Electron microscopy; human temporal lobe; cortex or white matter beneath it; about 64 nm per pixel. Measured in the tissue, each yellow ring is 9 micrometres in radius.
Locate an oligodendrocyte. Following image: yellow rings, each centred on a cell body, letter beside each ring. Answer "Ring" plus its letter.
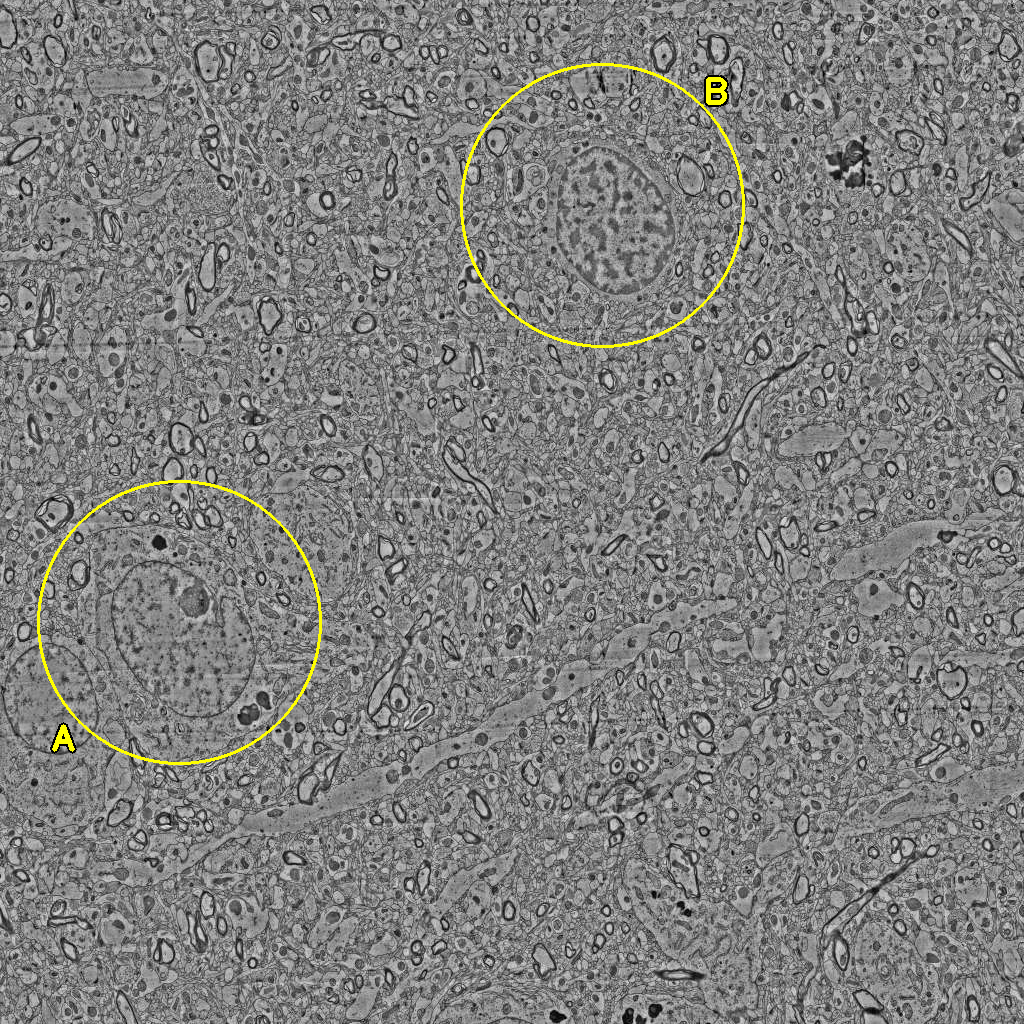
Ring B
